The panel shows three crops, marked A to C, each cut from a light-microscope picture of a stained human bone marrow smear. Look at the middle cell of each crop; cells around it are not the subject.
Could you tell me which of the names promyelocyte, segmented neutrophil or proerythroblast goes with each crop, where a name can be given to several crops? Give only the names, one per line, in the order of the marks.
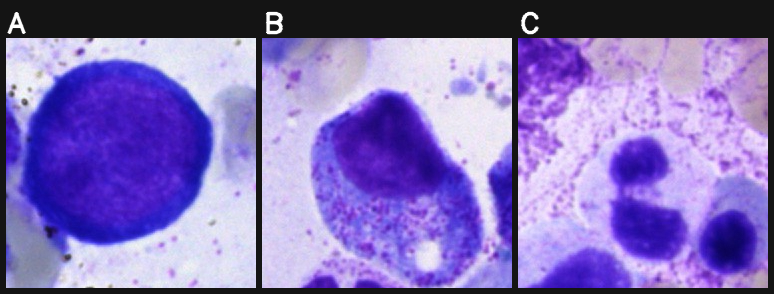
proerythroblast
promyelocyte
segmented neutrophil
